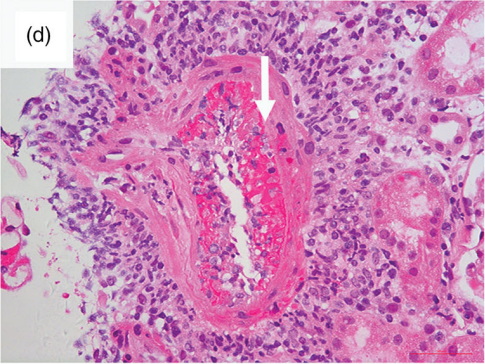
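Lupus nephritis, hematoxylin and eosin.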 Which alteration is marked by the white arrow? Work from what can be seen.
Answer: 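Fibrinoid necrotizing vasculitis. The inner vessel wall is replaced by bright pink, smudgy material. Dense small dark-nucleated cells surround the vessel.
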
